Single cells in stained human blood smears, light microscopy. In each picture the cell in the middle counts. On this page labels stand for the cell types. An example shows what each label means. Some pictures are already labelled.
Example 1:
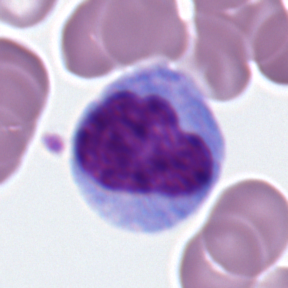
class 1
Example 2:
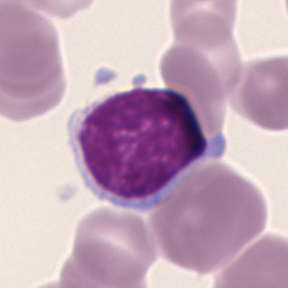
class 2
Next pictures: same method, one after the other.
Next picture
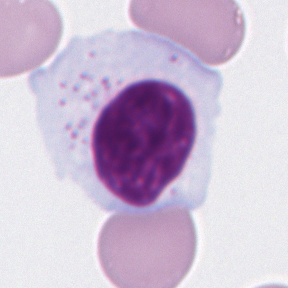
class 2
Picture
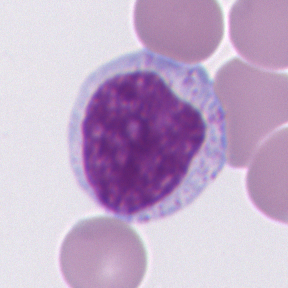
class 2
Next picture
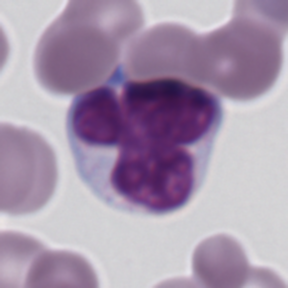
class 2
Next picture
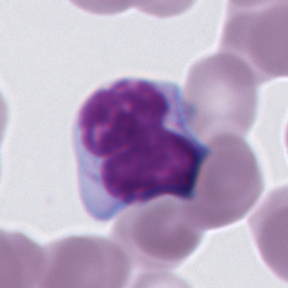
class 2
